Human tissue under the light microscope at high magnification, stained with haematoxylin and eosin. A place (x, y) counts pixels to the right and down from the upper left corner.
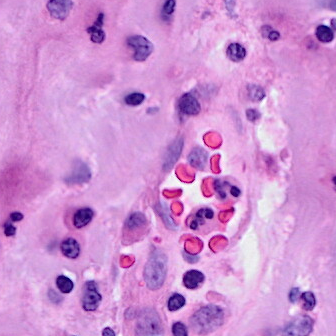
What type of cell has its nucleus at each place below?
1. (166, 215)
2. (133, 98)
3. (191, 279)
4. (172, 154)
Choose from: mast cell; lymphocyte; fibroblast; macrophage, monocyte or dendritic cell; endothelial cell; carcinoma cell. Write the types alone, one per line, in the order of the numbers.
endothelial cell
lymphocyte
lymphocyte
endothelial cell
